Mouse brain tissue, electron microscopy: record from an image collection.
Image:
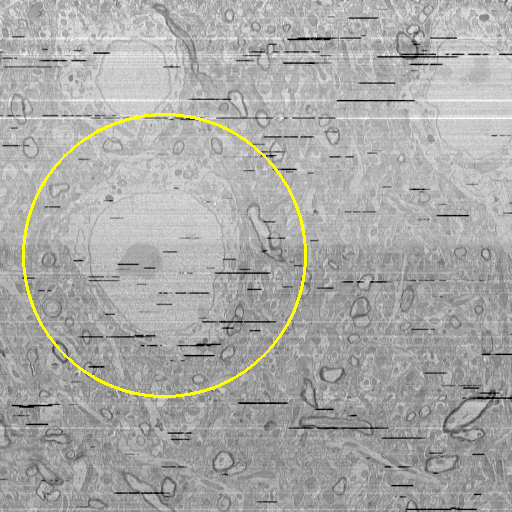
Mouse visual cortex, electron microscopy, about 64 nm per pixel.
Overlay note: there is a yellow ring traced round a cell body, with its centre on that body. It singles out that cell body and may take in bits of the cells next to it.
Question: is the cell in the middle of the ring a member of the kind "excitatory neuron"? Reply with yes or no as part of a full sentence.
Yes, the image's ringed cell, the one at the ring's centre, is a member of that kind.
